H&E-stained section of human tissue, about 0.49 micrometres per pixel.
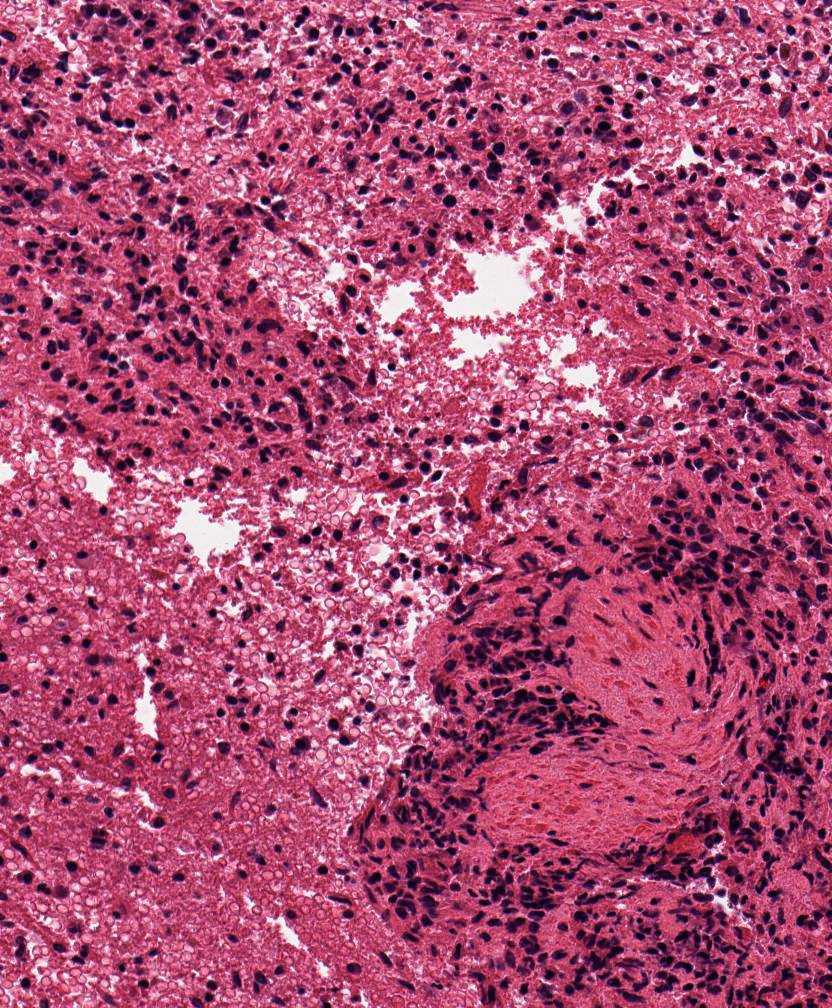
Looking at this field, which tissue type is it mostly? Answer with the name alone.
red pulp of the spleen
